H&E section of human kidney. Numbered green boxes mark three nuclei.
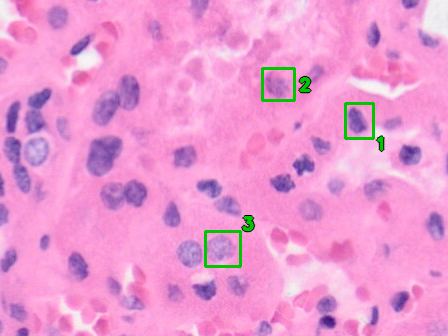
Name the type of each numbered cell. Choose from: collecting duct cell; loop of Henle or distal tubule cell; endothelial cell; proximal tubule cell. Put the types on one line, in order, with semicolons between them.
loop of Henle or distal tubule cell; proximal tubule cell; loop of Henle or distal tubule cell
